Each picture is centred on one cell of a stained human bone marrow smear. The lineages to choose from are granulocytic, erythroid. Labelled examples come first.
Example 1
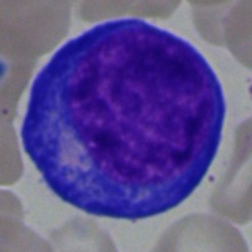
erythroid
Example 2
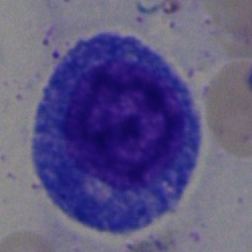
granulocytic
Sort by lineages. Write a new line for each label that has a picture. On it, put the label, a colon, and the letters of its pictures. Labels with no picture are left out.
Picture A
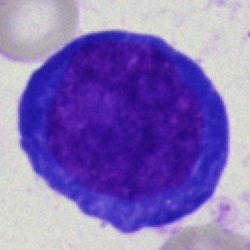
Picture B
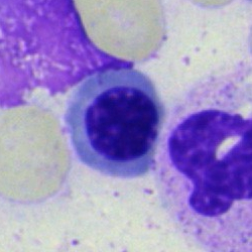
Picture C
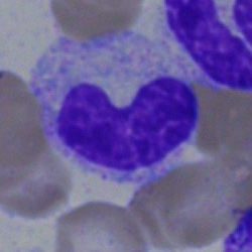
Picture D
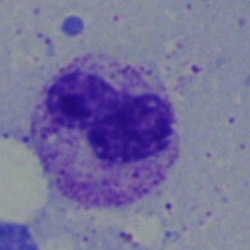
granulocytic: C, D
erythroid: A, B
